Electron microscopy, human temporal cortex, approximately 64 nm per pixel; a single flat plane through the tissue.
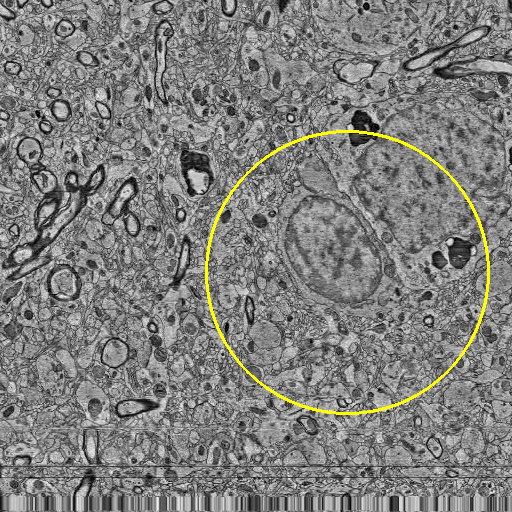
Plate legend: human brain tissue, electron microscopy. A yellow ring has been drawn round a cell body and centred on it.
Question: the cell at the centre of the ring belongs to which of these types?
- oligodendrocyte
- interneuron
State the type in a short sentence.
The cell in the middle of the ring is an oligodendrocyte.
